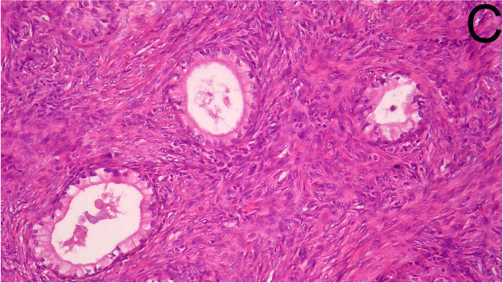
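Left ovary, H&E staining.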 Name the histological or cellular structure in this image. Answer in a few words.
Heterotypic glands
